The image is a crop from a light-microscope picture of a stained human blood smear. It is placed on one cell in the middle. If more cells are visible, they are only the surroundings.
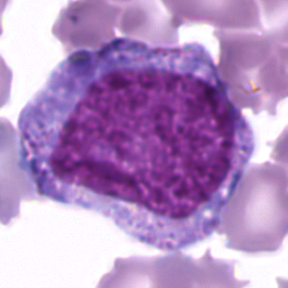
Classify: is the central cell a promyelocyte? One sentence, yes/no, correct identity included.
Yes, it is a promyelocyte that lies in the middle.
